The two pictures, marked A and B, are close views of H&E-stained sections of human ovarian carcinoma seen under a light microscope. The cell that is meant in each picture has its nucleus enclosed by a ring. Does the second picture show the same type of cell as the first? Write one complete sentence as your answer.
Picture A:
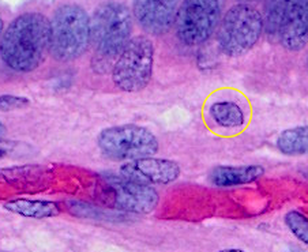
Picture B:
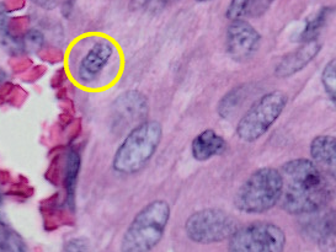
Yes, the two pictures both show “macrophages or monocytes”.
